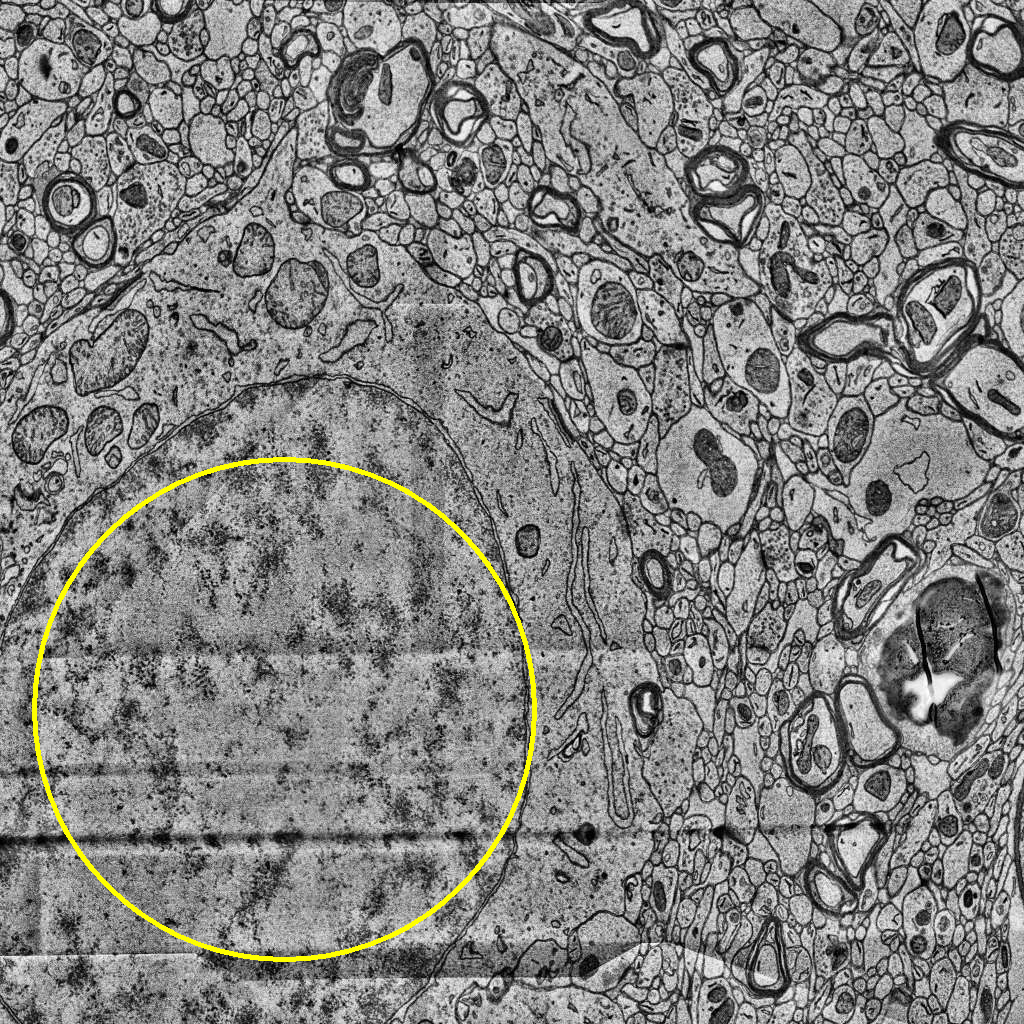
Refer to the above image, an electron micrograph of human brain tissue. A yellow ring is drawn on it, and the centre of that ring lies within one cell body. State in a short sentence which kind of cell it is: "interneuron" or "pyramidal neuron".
The centre of the ring falls on an interneuron.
